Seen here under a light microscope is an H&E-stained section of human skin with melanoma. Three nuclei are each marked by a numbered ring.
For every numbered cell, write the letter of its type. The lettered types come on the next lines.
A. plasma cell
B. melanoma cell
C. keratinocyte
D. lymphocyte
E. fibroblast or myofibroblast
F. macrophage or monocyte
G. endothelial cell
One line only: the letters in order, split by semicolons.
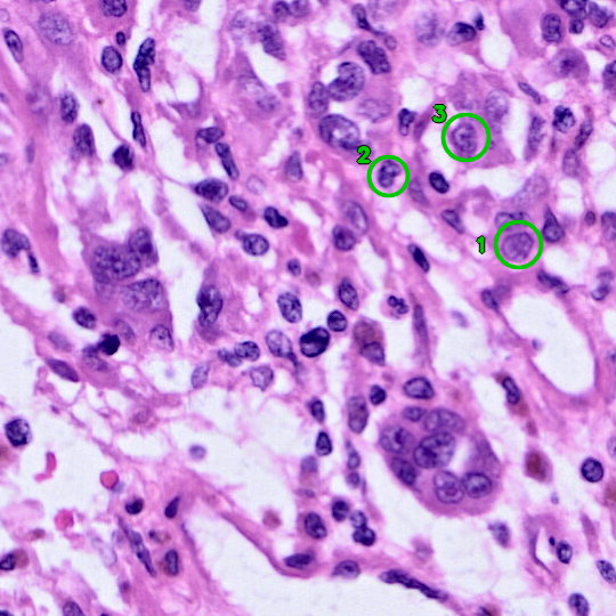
B; D; B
